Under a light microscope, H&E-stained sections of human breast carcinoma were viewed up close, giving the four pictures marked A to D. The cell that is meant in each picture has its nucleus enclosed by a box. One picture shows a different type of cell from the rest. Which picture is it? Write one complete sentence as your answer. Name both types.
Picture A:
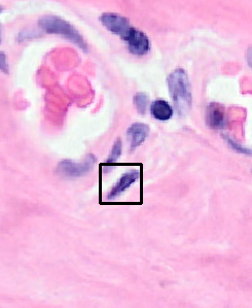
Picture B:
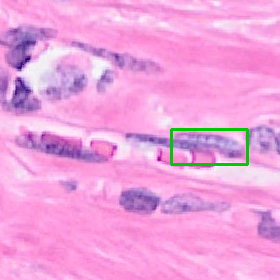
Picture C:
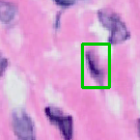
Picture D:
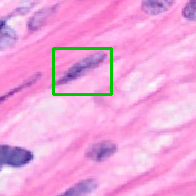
Unlike the rest, which show fibroblasts, picture B shows an endothelial cell.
